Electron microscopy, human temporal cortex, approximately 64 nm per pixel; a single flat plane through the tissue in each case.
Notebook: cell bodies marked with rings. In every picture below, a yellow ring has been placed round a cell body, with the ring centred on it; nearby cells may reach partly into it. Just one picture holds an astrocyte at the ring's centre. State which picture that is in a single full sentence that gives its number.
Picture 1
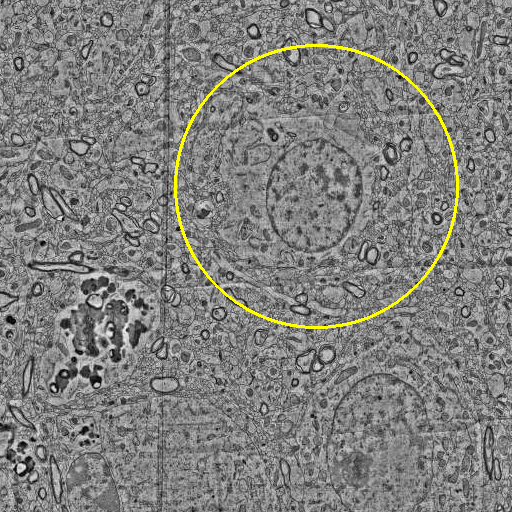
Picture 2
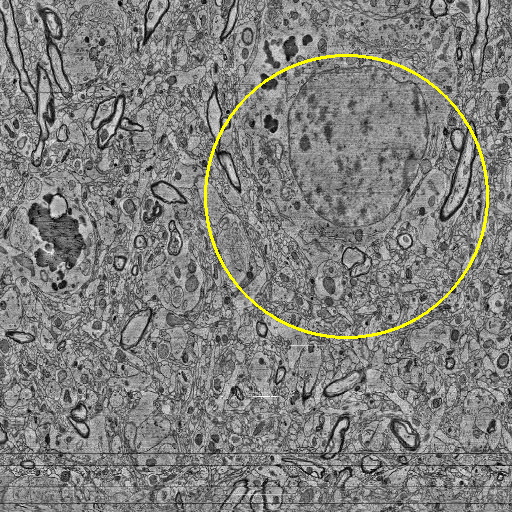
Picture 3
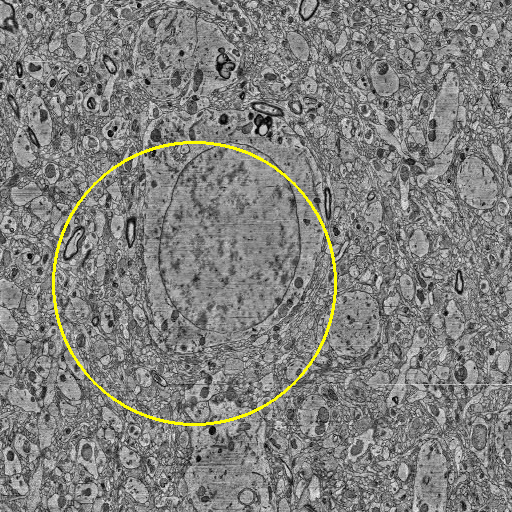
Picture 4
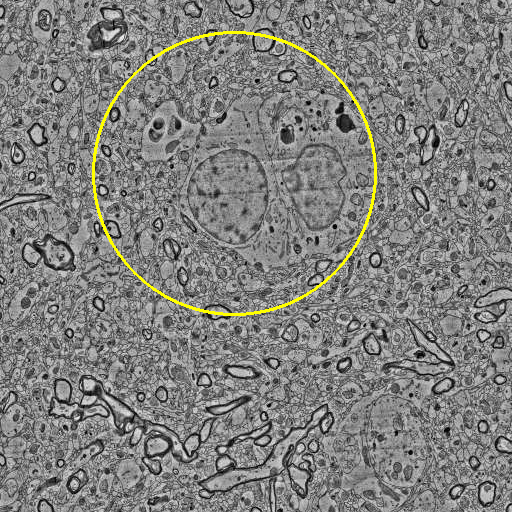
It is picture 1 whose ring has the wanted cell right at its centre.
